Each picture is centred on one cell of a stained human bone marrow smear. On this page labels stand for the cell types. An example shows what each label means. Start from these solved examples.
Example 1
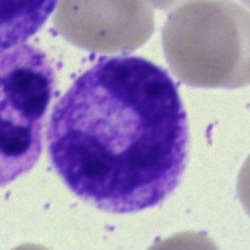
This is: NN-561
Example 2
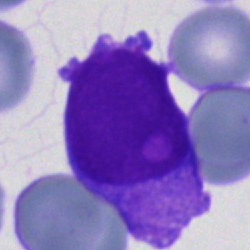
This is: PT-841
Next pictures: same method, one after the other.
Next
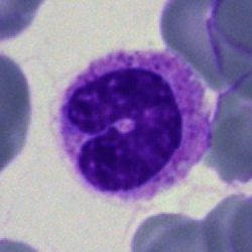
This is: NN-561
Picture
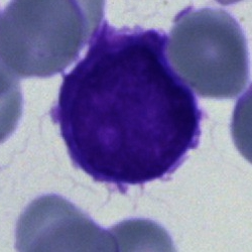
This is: PT-841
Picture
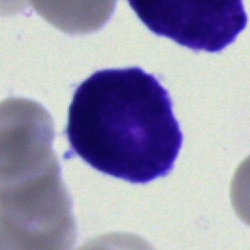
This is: PT-841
